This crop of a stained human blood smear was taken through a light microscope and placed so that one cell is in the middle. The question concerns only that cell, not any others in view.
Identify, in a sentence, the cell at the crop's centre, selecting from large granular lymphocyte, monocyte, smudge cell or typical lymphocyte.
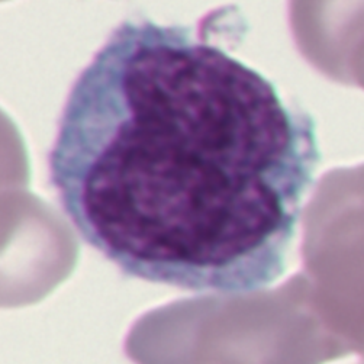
Framed in the middle of the crop is a monocyte.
